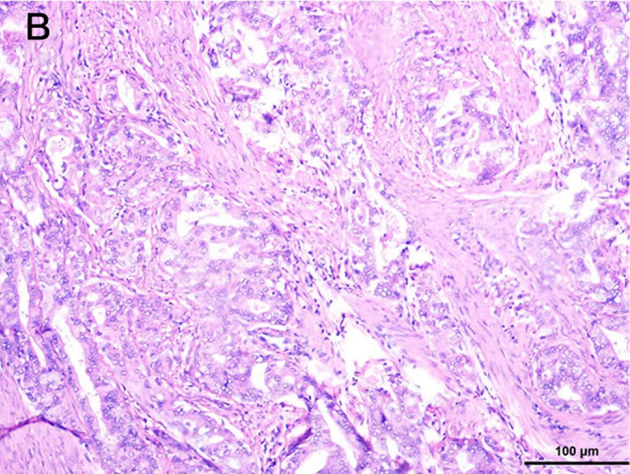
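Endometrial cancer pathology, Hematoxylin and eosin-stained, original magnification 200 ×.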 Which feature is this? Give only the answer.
Infiltrating, irregular adenoids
